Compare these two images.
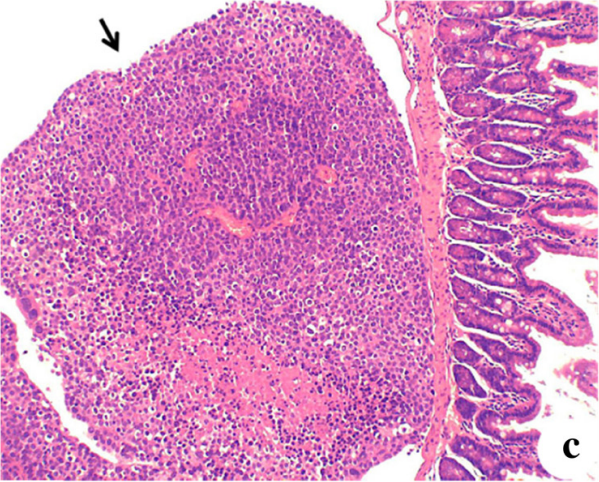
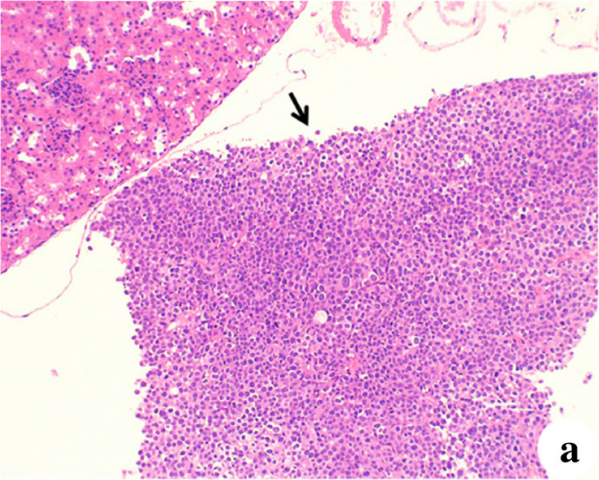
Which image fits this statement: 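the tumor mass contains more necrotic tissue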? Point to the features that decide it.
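The first image. First image: pale pink acellular areas lie within the lower and central parts of the tumor mass. Second image: the tumor mass is densely cellular with little pink acellular material.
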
